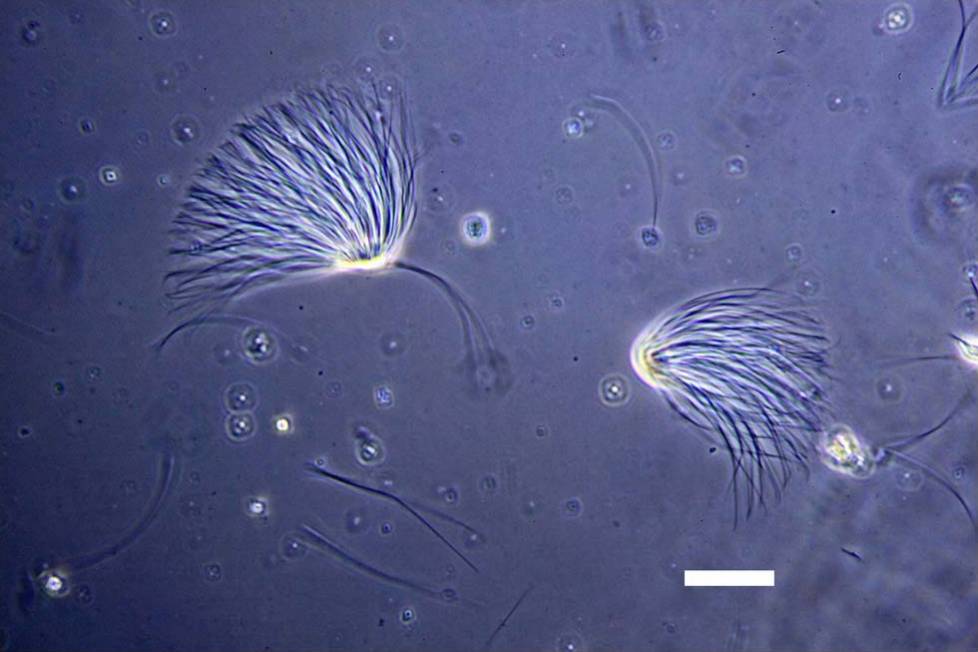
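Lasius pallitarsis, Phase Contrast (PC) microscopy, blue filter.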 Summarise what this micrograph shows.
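Two sperm bundles lie in the field, each a fan of many long, slender sperm cells held together at one end. The heads of the sperm gather into a bright, compact point, from which the thread-like tails spread out in a broad, feathery fan. Slender single threads and small round particles lie scattered in the surrounding fluid.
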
